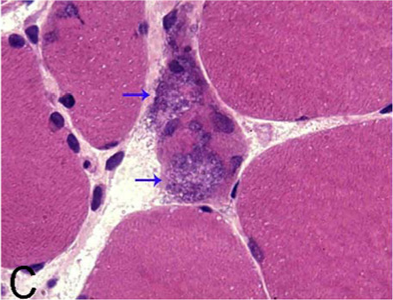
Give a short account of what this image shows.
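Cross-sectioned muscle fibers, one small fiber in the centre containing granular deposits. The large neighbouring fibers have pink, finely stippled cytoplasm with a few dark oval nuclei at their edges. The central fiber is smaller and more purple; within it, pale spaces are filled and rimmed by fine, sand-like purple granules, and several dark nuclei lie among them. Loose pale connective tissue surrounds this fiber, separating it from its larger neighbours, and a few flattened nuclei lie in the spaces between fibers.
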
